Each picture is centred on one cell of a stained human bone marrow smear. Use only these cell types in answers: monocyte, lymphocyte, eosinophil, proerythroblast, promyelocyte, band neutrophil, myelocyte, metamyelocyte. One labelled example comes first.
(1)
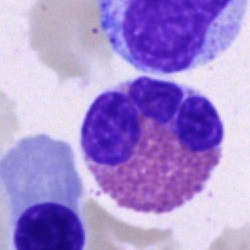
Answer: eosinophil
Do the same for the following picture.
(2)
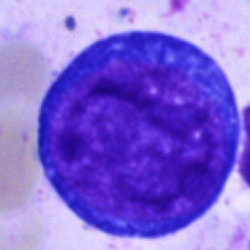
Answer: proerythroblast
